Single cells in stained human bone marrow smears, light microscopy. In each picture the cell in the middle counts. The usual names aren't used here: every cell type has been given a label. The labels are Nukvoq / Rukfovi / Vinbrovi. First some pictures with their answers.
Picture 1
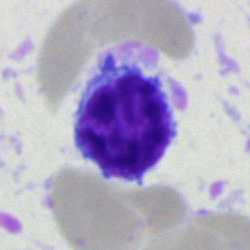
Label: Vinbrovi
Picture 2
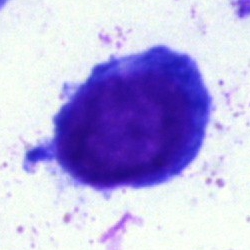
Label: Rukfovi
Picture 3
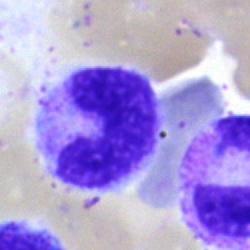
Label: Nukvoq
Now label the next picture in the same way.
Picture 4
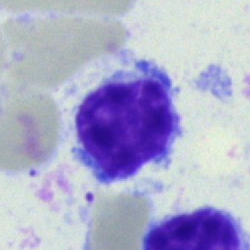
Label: Vinbrovi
